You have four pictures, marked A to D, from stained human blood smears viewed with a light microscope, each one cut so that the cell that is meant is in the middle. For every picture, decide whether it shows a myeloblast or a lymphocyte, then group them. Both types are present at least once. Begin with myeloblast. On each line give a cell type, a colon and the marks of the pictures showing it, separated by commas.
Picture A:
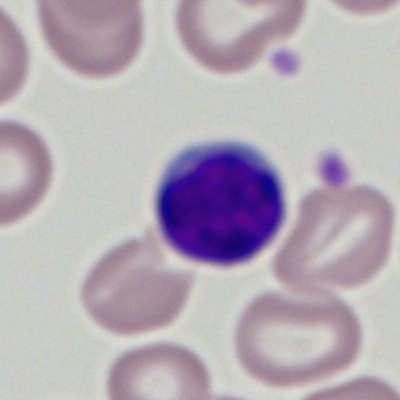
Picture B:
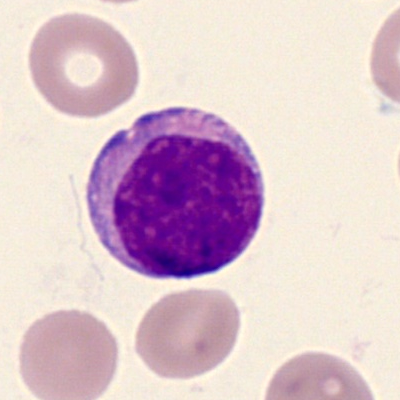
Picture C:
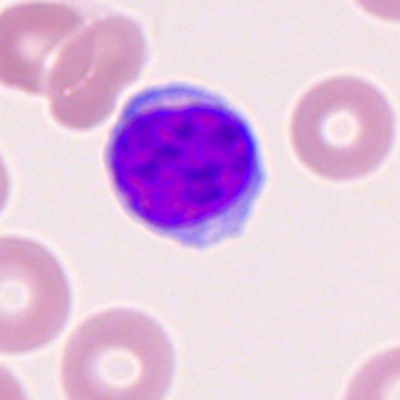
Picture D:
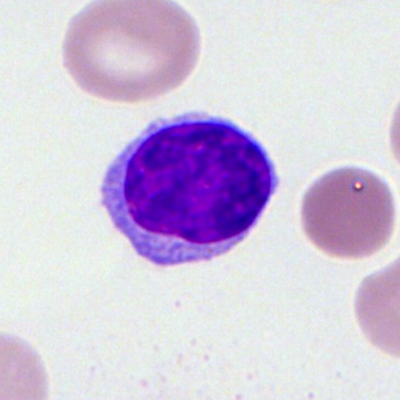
myeloblast: B
lymphocyte: A, C, D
